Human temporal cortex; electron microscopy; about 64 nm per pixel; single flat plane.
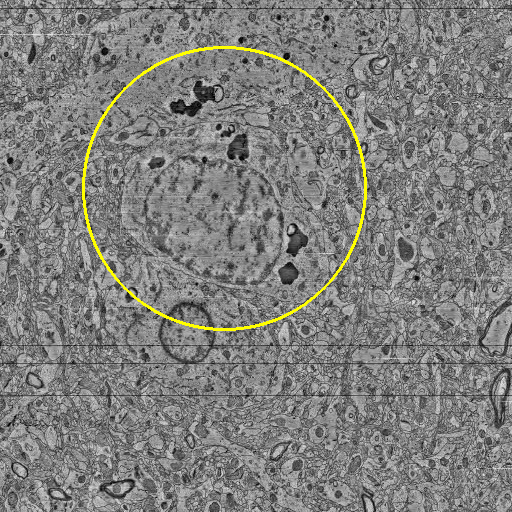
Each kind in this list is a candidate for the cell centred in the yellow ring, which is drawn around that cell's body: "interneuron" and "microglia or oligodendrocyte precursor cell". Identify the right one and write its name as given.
interneuron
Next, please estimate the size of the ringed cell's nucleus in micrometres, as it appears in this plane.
About 10 by 8 micrometers for the nucleus, in this plane.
